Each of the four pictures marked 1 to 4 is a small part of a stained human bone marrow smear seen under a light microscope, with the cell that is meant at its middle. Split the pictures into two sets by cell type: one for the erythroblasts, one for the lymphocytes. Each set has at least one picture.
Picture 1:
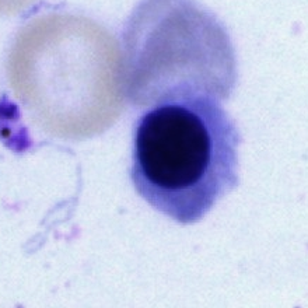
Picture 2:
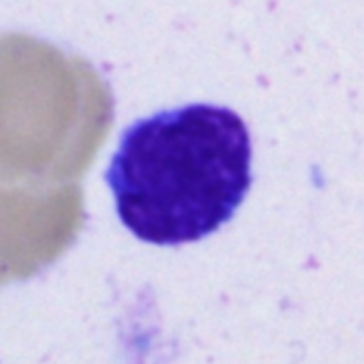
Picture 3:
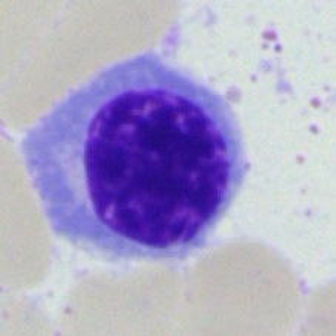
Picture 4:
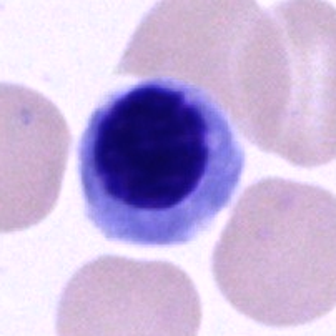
1: erythroblast
2: lymphocyte
3: erythroblast
4: erythroblast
